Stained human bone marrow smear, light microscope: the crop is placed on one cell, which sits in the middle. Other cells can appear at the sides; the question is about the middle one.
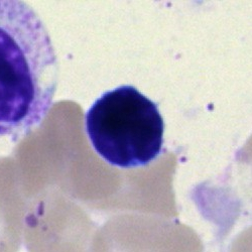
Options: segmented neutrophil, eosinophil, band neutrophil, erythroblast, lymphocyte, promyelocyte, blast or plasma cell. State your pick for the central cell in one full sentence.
At the center of the crop sits a lymphocyte.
